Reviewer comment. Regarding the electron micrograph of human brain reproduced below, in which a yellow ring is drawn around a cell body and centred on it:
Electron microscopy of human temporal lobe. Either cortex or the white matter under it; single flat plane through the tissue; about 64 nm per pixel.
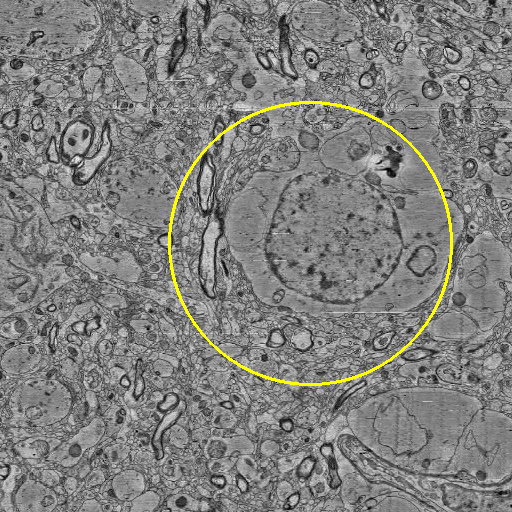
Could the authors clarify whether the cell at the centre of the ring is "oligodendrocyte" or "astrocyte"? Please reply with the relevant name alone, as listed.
astrocyte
